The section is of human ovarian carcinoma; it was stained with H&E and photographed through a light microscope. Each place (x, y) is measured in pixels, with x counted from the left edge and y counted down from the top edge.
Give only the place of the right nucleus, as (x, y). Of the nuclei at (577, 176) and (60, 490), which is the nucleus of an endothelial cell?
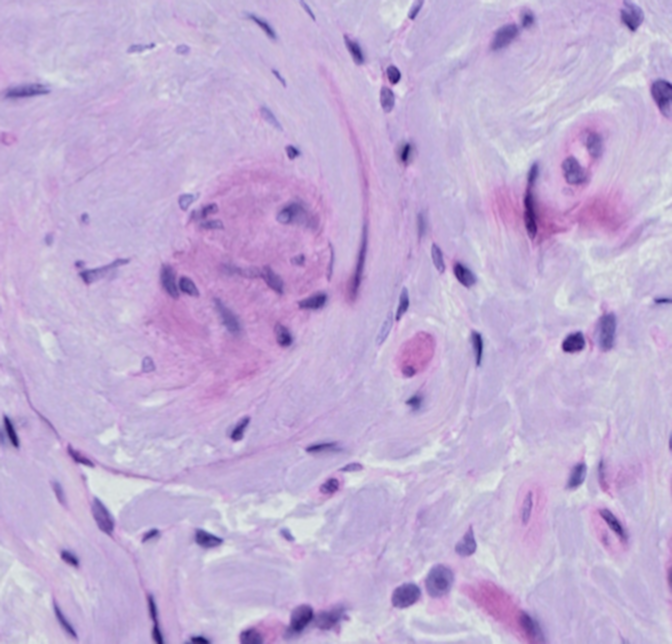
(577, 176)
